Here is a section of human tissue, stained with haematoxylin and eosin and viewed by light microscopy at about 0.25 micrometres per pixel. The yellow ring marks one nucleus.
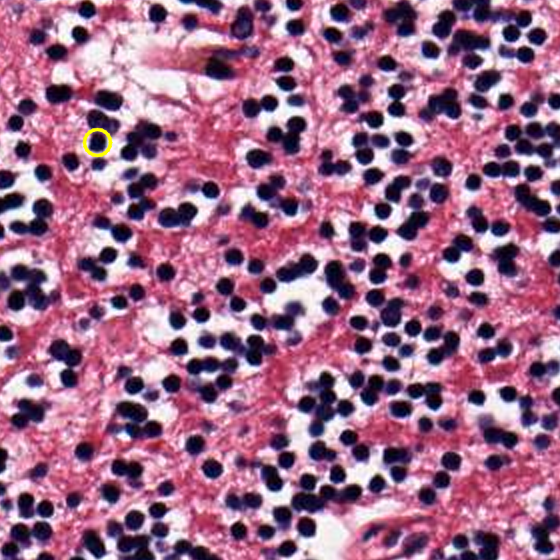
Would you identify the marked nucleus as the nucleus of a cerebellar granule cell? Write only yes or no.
yes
